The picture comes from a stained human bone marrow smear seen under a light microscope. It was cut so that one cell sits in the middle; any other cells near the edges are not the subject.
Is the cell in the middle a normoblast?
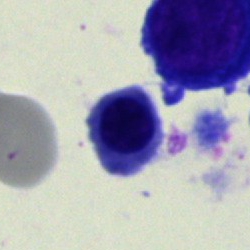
yes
